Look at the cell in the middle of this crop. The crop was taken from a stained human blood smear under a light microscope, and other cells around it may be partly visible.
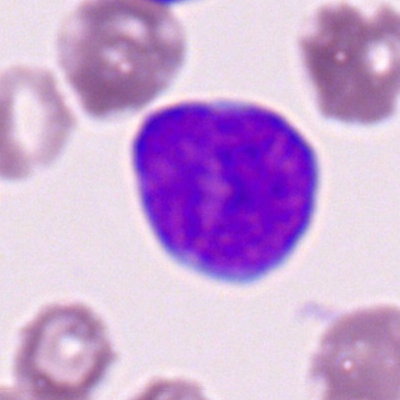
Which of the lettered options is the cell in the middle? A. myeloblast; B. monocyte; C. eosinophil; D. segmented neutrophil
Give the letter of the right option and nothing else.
A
